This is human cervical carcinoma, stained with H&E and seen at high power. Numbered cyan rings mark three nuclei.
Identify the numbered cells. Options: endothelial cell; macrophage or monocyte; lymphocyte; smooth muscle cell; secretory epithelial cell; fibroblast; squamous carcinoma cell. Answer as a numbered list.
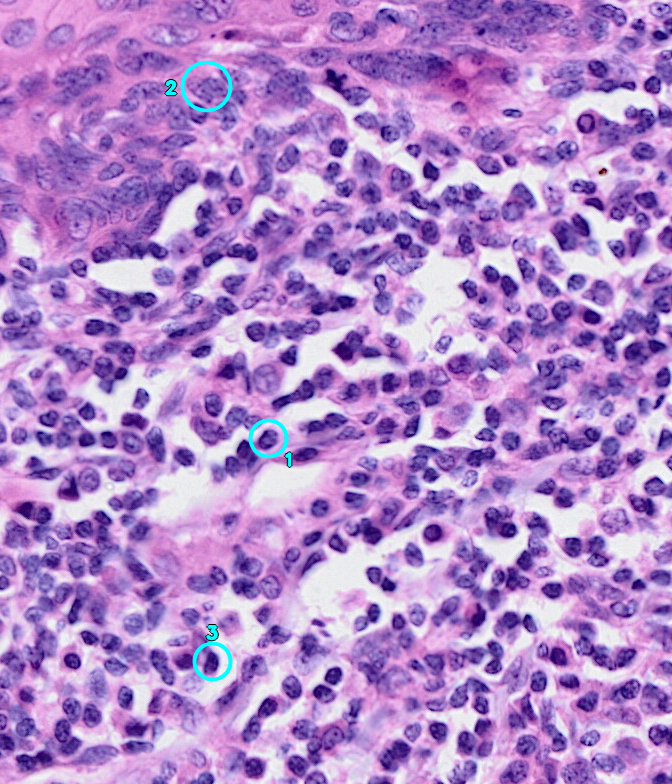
1. lymphocyte
2. squamous carcinoma cell
3. lymphocyte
